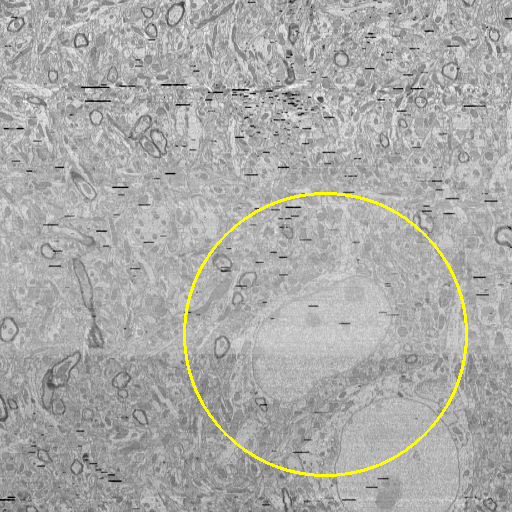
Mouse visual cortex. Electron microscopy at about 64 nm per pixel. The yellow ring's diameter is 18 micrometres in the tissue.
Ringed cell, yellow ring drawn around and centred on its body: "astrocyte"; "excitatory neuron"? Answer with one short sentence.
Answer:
This ringed cell is an astrocyte.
